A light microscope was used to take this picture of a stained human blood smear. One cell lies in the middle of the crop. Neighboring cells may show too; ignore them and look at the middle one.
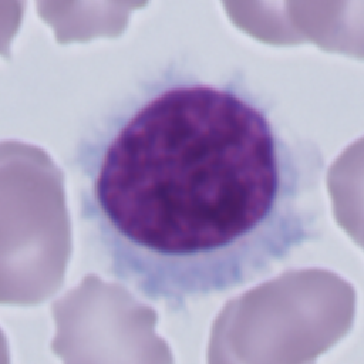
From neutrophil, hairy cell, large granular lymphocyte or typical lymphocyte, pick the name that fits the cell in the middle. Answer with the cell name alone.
hairy cell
